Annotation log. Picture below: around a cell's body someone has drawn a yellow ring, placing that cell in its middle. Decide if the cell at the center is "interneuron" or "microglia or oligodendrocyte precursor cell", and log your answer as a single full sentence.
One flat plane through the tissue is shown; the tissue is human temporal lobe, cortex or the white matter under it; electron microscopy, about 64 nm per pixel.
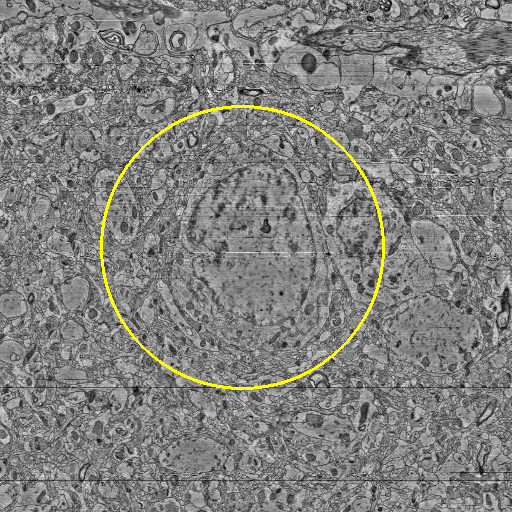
My entry records an interneuron as the cell sitting at the center of the yellow ring.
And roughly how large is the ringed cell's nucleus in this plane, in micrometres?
In this plane, approximately 11 by 8 micrometers.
